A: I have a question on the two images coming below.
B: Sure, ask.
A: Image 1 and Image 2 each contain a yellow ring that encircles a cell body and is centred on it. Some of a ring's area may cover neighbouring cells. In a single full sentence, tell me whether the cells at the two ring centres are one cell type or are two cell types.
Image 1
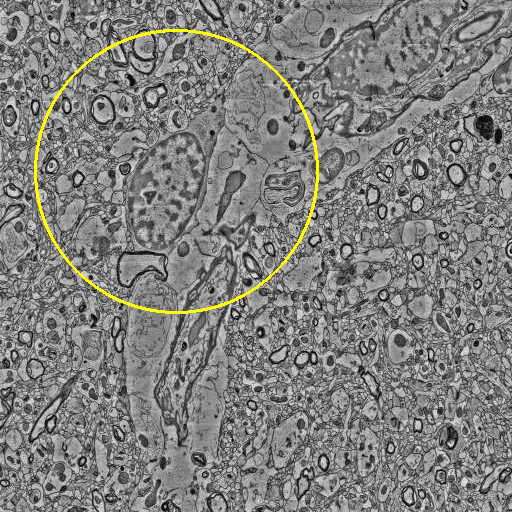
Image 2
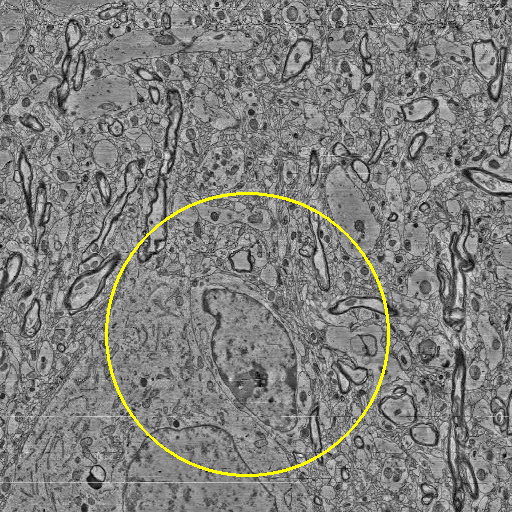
As for the ring-centre cells, the one in Image 1 and the one in Image 2 are two cell types.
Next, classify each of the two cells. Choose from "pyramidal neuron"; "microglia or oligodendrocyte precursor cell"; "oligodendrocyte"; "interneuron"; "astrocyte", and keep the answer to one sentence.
In the first picture it is an oligodendrocyte; in the second it is a microglial cell or oligodendrocyte precursor cell.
